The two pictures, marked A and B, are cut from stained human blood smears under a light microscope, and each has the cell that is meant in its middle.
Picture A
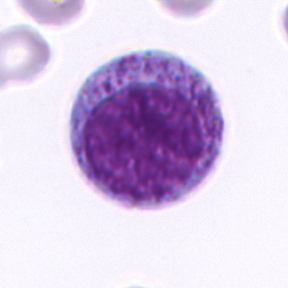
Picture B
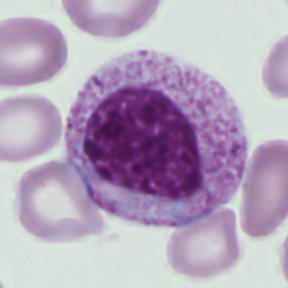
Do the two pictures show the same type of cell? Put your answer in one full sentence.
Yes, both cells are myelocytes.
